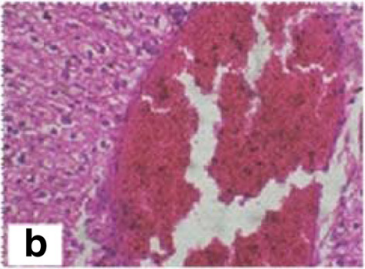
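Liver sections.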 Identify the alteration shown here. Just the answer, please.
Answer: centrilobular congestion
